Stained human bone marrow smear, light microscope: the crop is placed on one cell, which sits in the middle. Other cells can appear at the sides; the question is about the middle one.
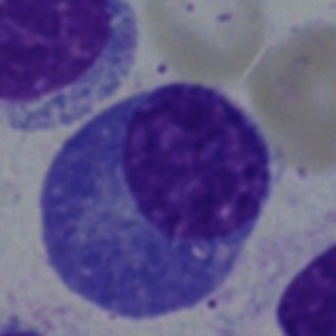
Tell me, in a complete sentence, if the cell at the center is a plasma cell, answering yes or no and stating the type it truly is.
Yes, the cell located at the center is a plasma cell.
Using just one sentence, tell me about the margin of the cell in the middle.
The edge of the cell is unbroken and smooth, bearing no projections.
